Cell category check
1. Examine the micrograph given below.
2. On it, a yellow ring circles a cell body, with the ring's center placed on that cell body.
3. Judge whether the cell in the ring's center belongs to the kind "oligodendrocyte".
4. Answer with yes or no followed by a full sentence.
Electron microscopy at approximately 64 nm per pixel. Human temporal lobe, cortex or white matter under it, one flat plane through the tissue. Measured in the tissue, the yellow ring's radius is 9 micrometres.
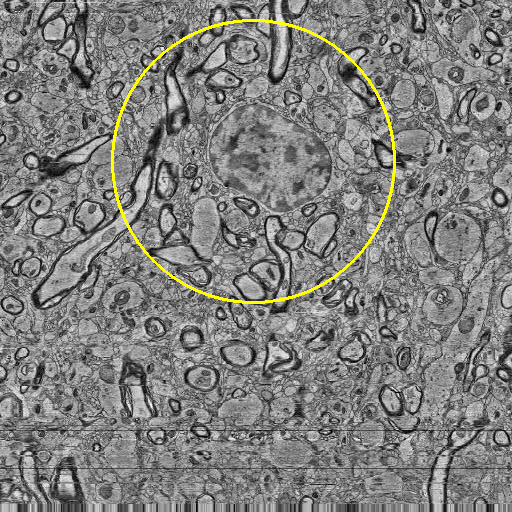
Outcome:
No, the cell found at the ring's center in the micrograph belongs to another kind.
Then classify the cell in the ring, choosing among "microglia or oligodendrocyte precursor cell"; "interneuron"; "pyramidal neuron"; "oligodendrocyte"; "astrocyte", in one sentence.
The cell in the ring is a microglial cell or oligodendrocyte precursor cell instead.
